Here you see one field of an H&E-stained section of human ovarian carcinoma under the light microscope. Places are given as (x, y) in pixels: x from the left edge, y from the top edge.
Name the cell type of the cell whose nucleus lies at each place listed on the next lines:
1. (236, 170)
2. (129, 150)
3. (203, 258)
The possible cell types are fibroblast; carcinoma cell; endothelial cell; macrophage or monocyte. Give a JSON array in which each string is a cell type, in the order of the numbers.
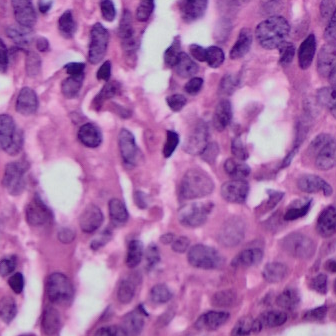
["carcinoma cell", "endothelial cell", "carcinoma cell"]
